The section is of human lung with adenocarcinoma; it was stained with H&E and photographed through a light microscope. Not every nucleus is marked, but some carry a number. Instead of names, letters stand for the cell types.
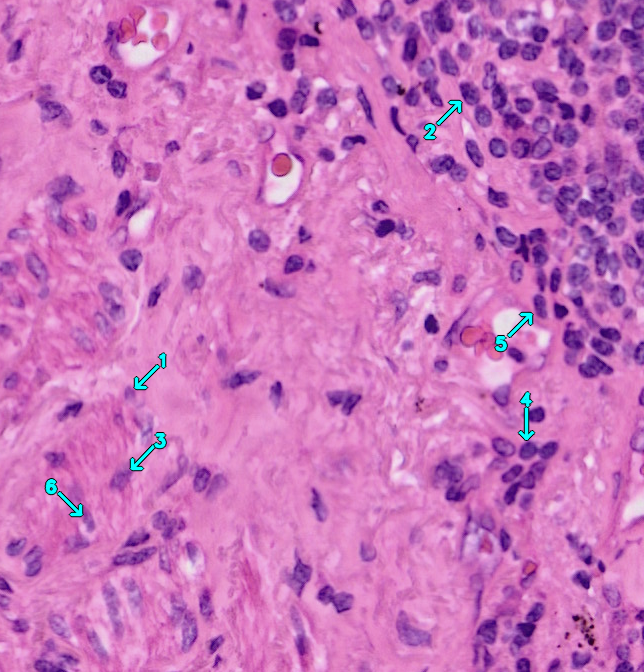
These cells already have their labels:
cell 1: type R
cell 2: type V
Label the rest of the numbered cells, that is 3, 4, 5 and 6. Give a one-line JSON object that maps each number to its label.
{"3": "type R", "4": "type V", "5": "type V", "6": "type R"}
